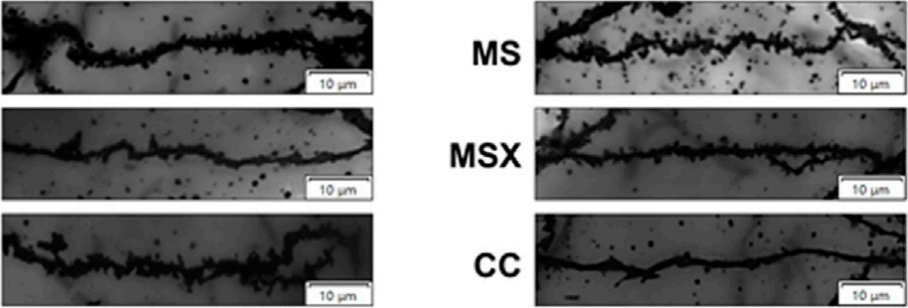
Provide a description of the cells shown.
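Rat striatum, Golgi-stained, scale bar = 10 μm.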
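Along the shafts sit small protrusions, the dendritic spines, some short and knob-like, others thin and more elongated. How densely they stud the shaft differs from strip to strip: some branches look crowded and bumpy, while others run fairly smooth with only scattered spines. Scattered dark dots of stain precipitate lie in the background around the dendrites.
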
